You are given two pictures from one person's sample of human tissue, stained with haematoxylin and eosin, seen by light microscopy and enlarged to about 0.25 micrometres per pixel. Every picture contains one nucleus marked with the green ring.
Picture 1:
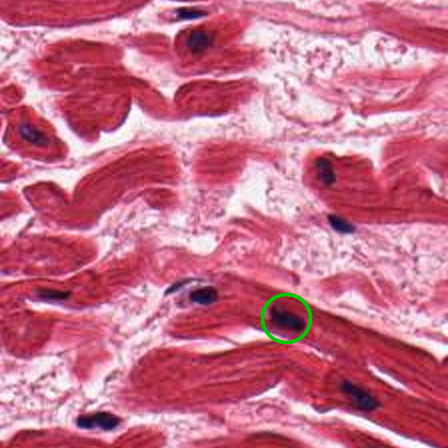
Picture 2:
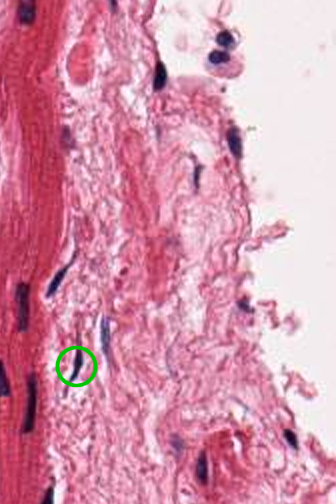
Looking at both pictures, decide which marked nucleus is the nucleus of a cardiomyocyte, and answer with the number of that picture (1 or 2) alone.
1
